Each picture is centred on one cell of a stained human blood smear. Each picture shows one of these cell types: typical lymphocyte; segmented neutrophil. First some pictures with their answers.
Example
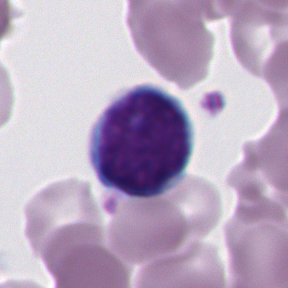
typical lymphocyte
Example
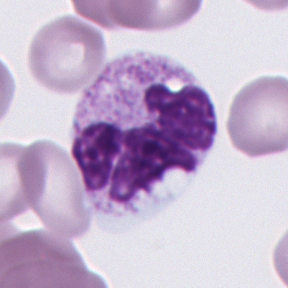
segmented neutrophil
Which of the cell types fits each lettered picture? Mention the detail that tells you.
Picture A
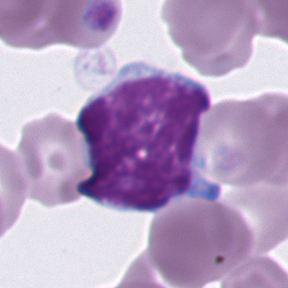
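typical lymphocyte: The cytoplasm is a scant pale-blue rim around the nucleus.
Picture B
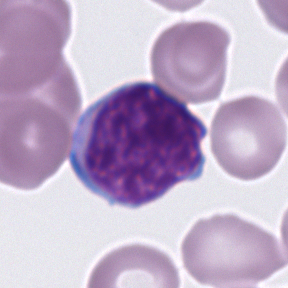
typical lymphocyte: The cytoplasm is only a thin rim around the nucleus.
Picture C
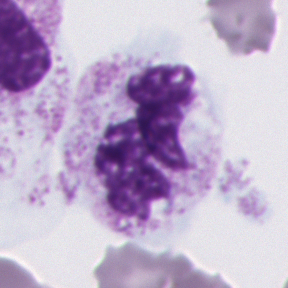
segmented neutrophil: The cytoplasm is abundant and pale.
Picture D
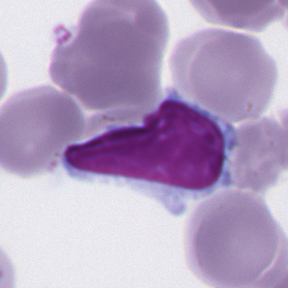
typical lymphocyte: The cytoplasm is scant, forming only a thin rim around the nucleus.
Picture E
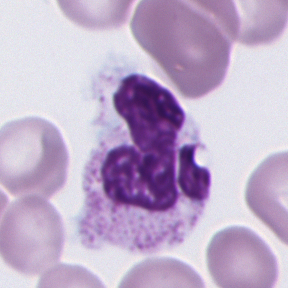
segmented neutrophil: The cytoplasm between the granules is pale and nearly colourless.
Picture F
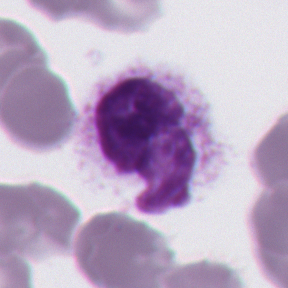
segmented neutrophil: The cytoplasm is pale and almost colourless, forming a rim around the nucleus.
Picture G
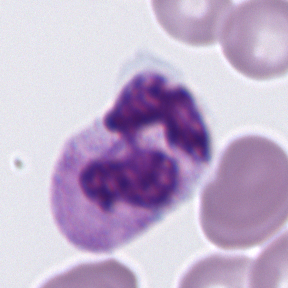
segmented neutrophil: The nucleus forms two large masses joined by a narrower middle part.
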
